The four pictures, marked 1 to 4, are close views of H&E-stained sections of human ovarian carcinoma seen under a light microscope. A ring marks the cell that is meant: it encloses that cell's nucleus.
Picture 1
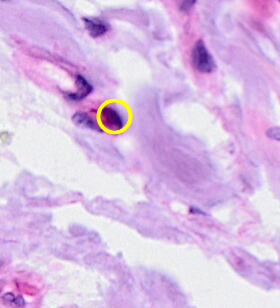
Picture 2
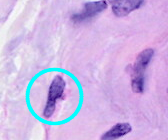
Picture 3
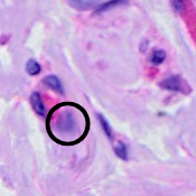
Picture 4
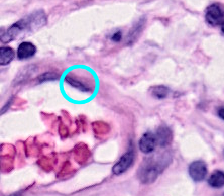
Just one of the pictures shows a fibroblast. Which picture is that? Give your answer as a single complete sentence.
Picture 2 is the one that shows the fibroblast.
